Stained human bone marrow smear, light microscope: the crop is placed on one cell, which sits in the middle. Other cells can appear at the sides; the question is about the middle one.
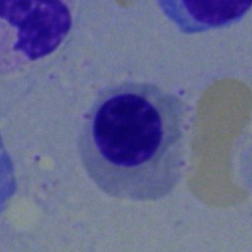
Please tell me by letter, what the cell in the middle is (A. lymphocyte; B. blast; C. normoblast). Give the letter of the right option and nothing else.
C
